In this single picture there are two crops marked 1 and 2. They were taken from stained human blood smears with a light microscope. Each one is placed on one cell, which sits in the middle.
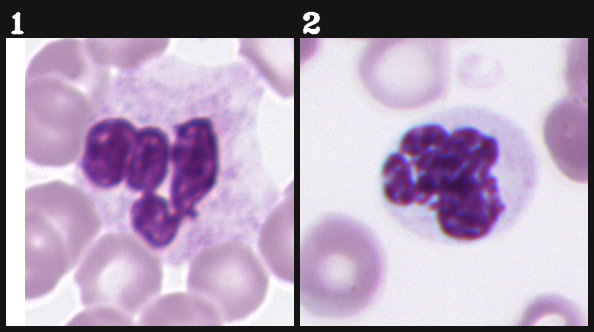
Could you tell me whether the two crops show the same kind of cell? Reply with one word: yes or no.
yes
